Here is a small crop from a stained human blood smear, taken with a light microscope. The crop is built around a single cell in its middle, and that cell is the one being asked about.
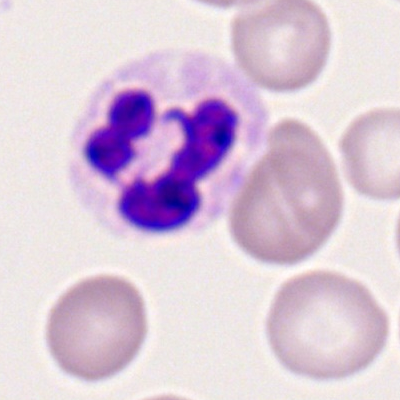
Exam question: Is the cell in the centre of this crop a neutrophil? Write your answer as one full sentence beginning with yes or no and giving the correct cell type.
Yes, the cell in the center of the field is a neutrophil.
